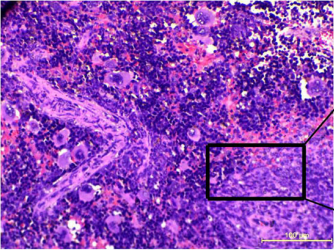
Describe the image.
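Spleen tissue with densely packed small lymphoid cells and scattered megakaryocytes. Most of the field is filled by small round cells with dark purple, scant-cytoplasm nuclei. Among them lie many very large cells with abundant pink cytoplasm and large, irregular or lobed nuclei, the megakaryocytes. A band of pink fibrous tissue with elongated nuclei, likely a vessel wall or trabecula, runs across the left side. Patches of red blood cells appear in pink areas between the cell sheets. Toward the lower right lies a zone of larger, paler cells in a cluster, distinct from the surrounding small dark cells.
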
